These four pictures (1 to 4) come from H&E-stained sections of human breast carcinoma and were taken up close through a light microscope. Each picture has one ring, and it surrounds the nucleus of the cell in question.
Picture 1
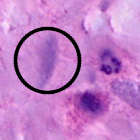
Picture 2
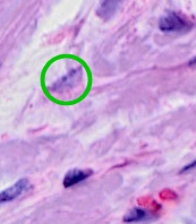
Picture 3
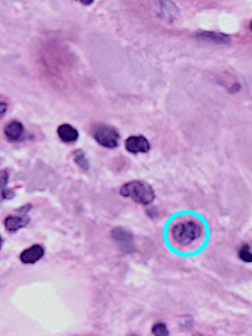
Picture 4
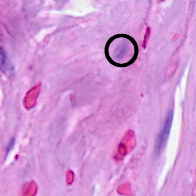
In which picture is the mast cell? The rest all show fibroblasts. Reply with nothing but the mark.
3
